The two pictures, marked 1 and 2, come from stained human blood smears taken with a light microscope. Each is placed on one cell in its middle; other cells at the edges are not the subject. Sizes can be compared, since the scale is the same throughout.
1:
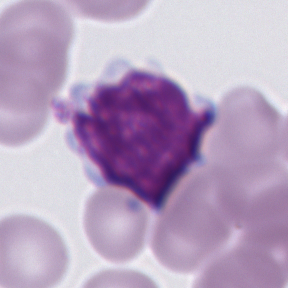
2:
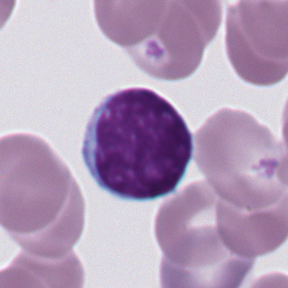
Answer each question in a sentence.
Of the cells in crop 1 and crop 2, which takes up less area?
Smaller is the cell in crop 2, and the other is about 2 times as large in area.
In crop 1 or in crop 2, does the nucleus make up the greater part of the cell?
It is the cell in crop 2 that is filled more by its nucleus.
